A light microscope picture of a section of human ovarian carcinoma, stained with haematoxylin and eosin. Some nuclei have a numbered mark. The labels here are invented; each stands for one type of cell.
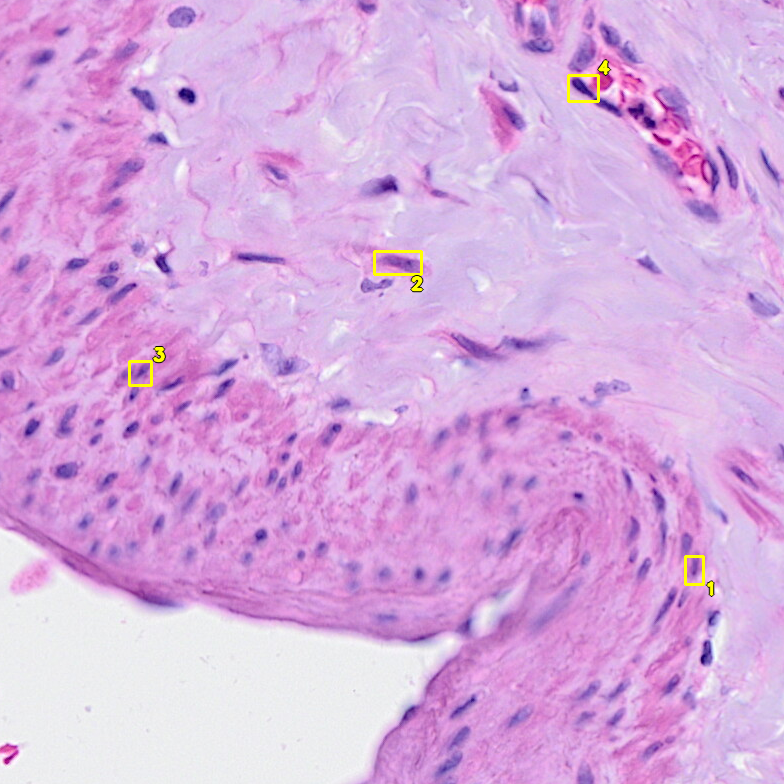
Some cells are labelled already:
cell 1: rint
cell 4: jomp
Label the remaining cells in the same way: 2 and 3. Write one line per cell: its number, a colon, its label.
2: rint
3: rint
